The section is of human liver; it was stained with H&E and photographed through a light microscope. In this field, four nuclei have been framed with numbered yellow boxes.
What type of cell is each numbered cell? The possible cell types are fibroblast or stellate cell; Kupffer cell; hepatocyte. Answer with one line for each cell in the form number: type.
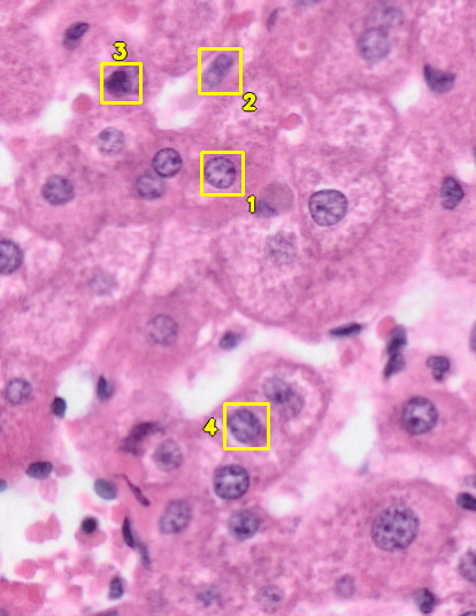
1: hepatocyte
2: Kupffer cell
3: fibroblast or stellate cell
4: hepatocyte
